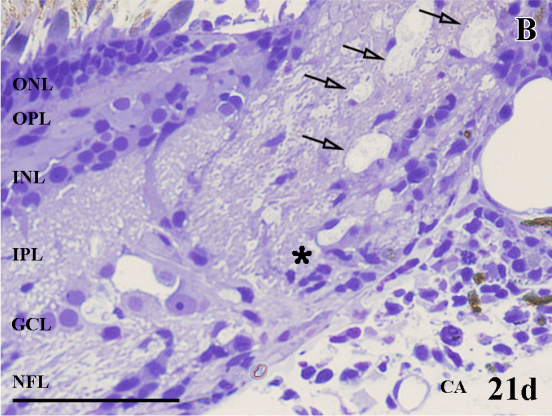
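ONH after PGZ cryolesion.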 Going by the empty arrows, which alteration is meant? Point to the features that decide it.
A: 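Pale, rounded, vacuolated spaces lie within the tissue. The spaces contain sparse, flocculent material.
Answer: Areas in degeneration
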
